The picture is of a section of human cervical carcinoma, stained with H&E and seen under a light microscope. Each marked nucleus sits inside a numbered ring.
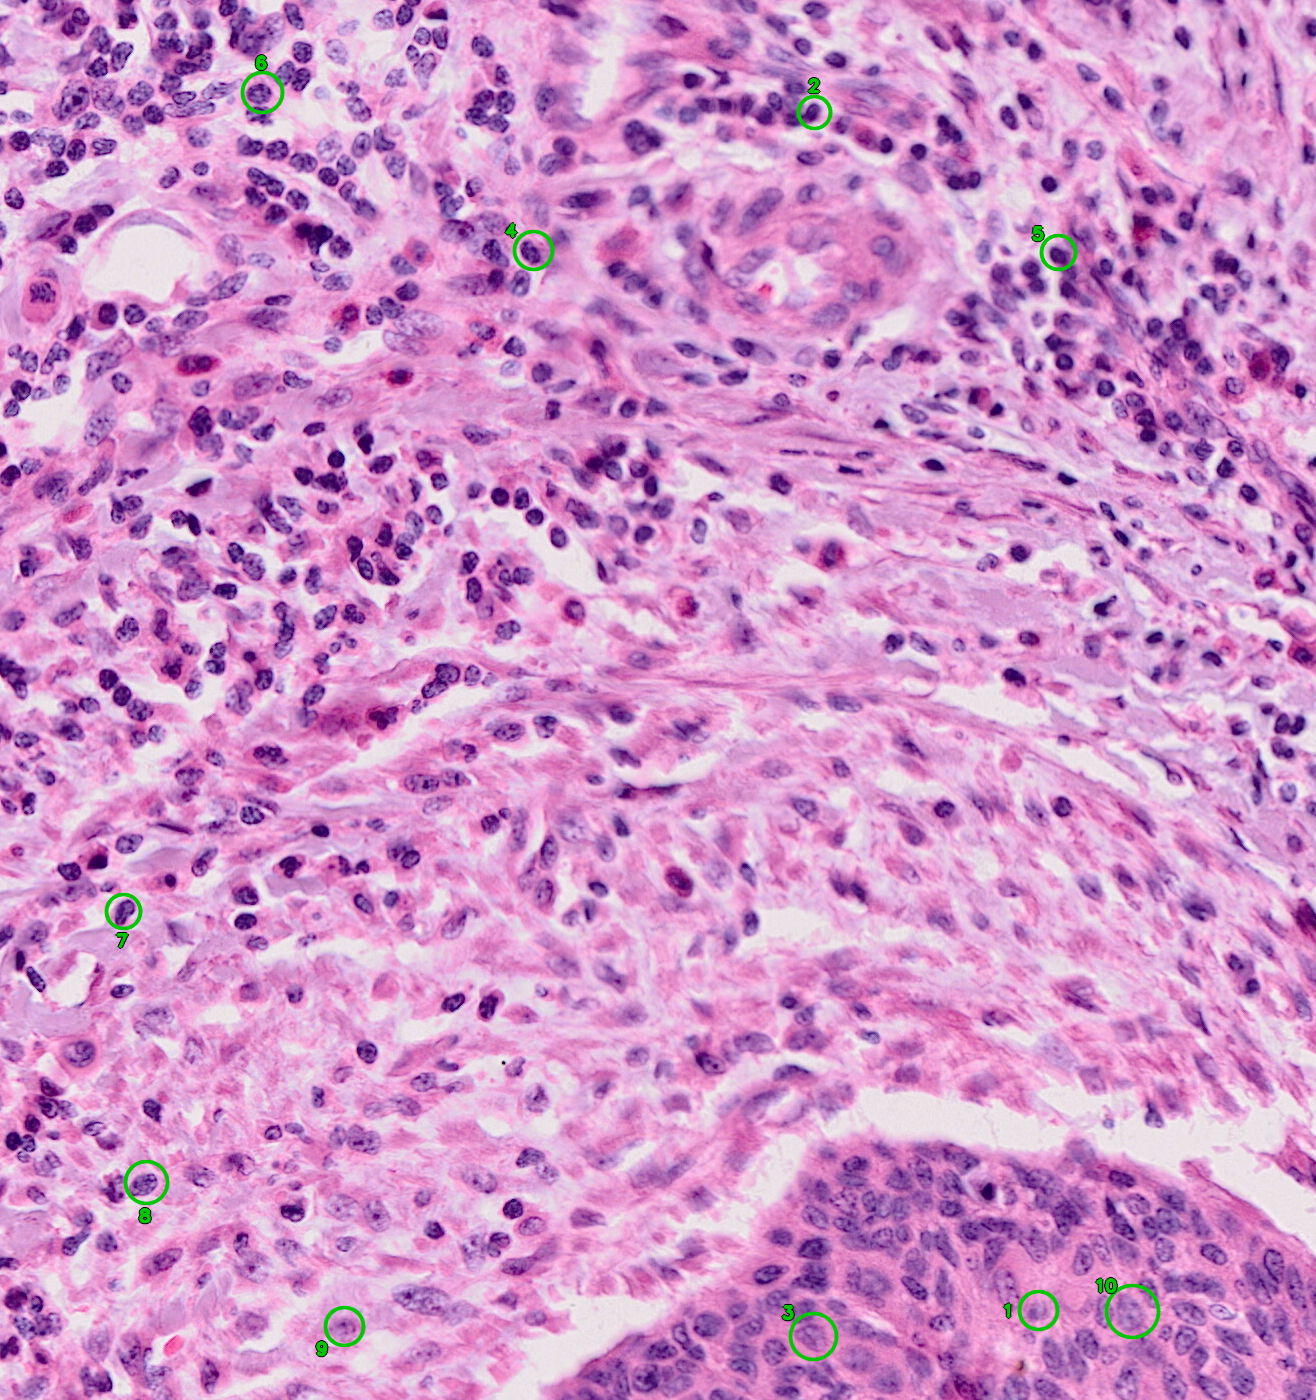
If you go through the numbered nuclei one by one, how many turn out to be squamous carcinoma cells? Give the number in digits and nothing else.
3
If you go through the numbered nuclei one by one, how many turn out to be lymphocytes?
6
